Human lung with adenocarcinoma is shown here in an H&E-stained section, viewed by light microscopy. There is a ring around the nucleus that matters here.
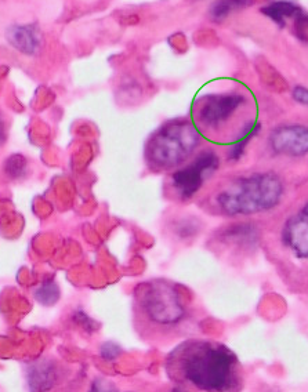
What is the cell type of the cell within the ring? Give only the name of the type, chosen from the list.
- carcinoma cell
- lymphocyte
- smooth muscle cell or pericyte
carcinoma cell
